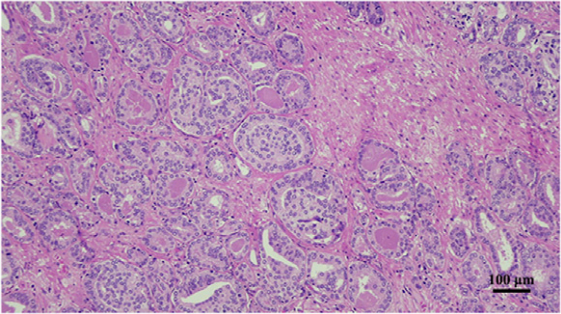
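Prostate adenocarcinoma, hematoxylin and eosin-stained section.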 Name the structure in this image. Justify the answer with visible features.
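Glomeruloid structures. Some glands contain a rounded ball of epithelial cells sitting within the lumen, attached at one side. Numerous small separate glands surround these structures.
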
